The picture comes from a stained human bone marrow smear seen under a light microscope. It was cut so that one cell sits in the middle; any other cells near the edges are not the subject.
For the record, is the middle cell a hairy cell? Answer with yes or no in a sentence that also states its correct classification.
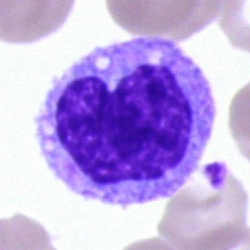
No, the cell in the middle of the field is a monocyte, not a hairy cell as suggested.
